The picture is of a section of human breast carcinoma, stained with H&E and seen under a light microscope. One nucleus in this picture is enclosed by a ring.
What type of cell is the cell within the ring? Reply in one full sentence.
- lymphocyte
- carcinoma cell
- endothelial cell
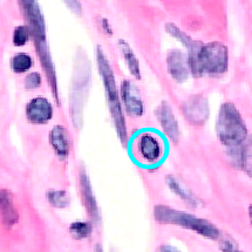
At the level of cell identity, the cell within the ring is an endothelial cell.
